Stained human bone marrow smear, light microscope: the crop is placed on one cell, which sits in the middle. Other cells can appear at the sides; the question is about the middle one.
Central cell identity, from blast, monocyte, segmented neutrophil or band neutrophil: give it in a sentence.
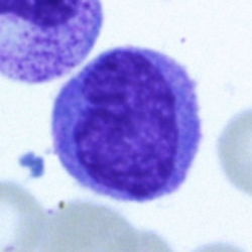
Framed in the middle of the crop is a monocyte.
